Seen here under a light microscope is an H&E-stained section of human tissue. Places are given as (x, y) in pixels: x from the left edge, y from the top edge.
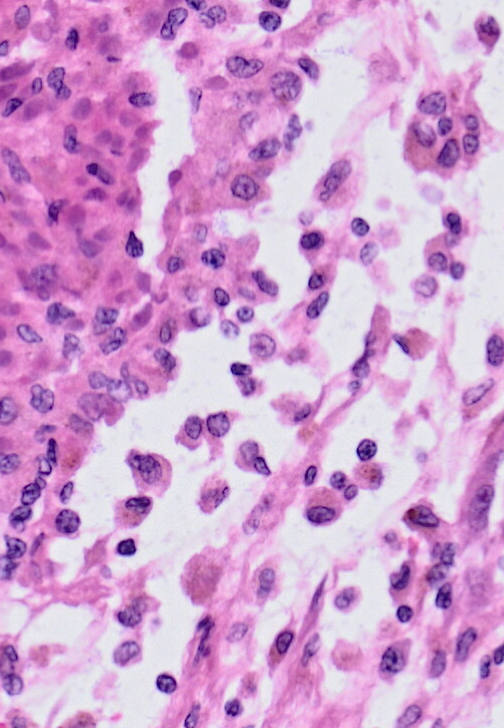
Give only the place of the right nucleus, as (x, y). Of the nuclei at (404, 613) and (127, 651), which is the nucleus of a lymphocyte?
(404, 613)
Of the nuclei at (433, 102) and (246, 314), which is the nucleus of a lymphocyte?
(246, 314)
